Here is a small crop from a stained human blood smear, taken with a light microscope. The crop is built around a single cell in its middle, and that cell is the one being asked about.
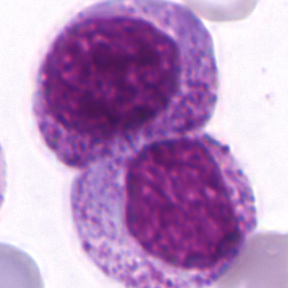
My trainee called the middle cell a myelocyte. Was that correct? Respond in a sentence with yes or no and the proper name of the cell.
Yes, the cell in the middle is recognised as a myelocyte.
